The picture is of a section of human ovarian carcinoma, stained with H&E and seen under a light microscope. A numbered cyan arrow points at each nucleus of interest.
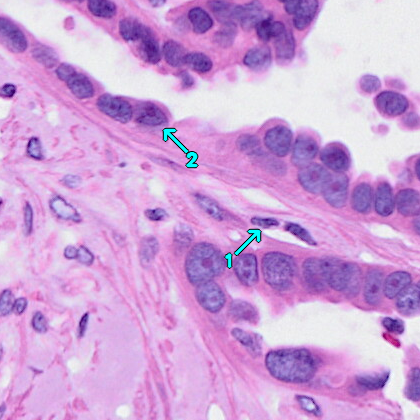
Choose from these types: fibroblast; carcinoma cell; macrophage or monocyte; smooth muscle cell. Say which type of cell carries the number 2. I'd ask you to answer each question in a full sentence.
Cell 2 in the field of view is a carcinoma cell.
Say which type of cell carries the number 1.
The nucleus labeled 1 belongs to a fibroblast.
